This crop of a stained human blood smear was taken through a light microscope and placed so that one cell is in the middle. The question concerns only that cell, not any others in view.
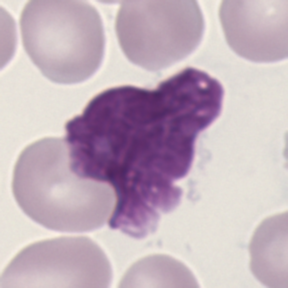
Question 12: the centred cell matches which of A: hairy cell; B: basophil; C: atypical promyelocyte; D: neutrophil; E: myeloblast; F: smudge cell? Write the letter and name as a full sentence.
In the centre of the crop there is a smudge cell, making option F correct.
